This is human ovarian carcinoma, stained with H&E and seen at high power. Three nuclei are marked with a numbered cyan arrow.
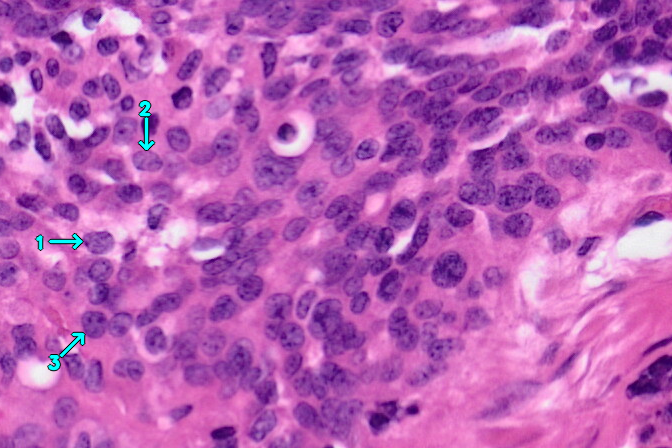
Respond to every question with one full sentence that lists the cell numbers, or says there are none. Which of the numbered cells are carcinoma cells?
Where the numbered cells are concerned, only number 3 is a carcinoma cell.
